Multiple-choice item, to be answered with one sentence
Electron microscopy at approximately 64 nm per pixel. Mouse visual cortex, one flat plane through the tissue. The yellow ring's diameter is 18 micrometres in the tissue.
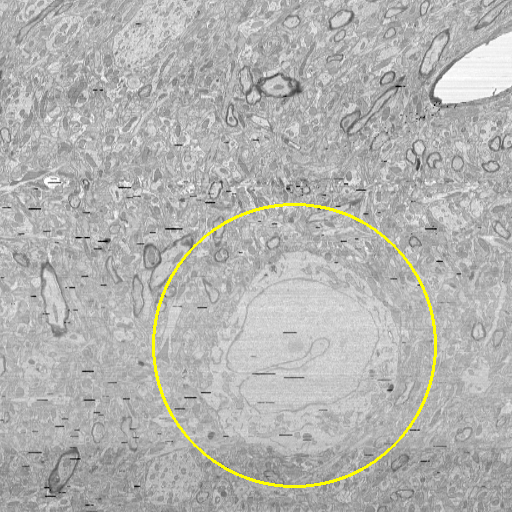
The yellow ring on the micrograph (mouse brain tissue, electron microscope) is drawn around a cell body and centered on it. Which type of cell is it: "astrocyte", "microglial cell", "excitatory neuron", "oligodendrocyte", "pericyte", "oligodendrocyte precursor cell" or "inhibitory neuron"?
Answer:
The ring is centered on an excitatory neuron.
